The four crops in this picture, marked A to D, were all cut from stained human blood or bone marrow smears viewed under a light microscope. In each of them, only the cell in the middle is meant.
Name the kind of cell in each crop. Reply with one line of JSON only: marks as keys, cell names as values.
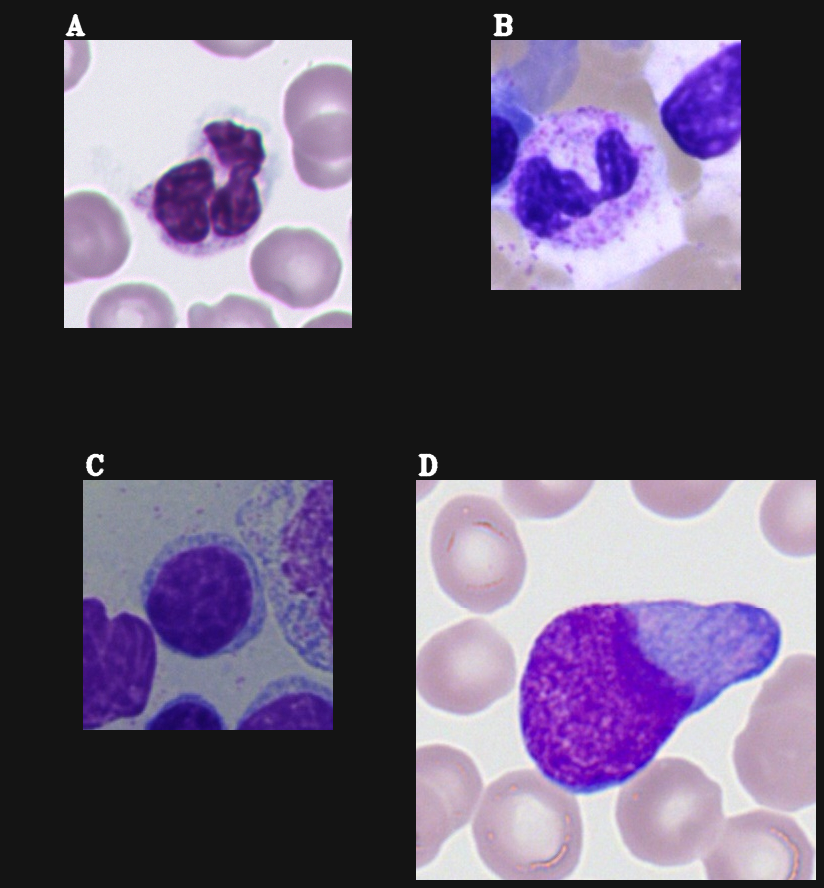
{"A": "segmented neutrophil", "B": "segmented neutrophil", "C": "lymphocyte", "D": "blast"}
